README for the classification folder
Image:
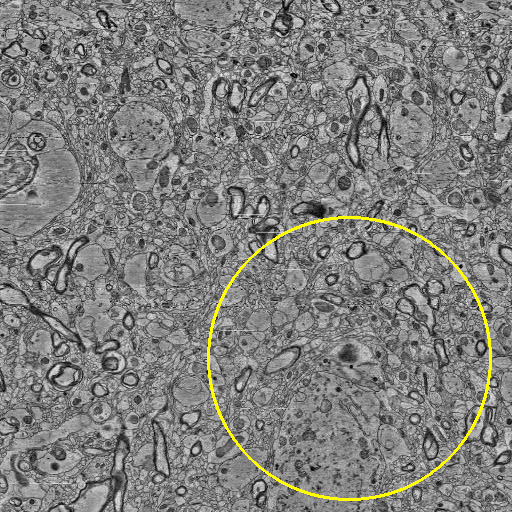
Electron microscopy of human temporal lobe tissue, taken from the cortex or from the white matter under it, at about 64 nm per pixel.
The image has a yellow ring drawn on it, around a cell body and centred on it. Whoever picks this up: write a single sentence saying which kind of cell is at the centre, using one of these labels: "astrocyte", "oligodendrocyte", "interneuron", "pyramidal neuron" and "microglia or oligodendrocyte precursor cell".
This cell body is that of a microglial cell or oligodendrocyte precursor cell.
